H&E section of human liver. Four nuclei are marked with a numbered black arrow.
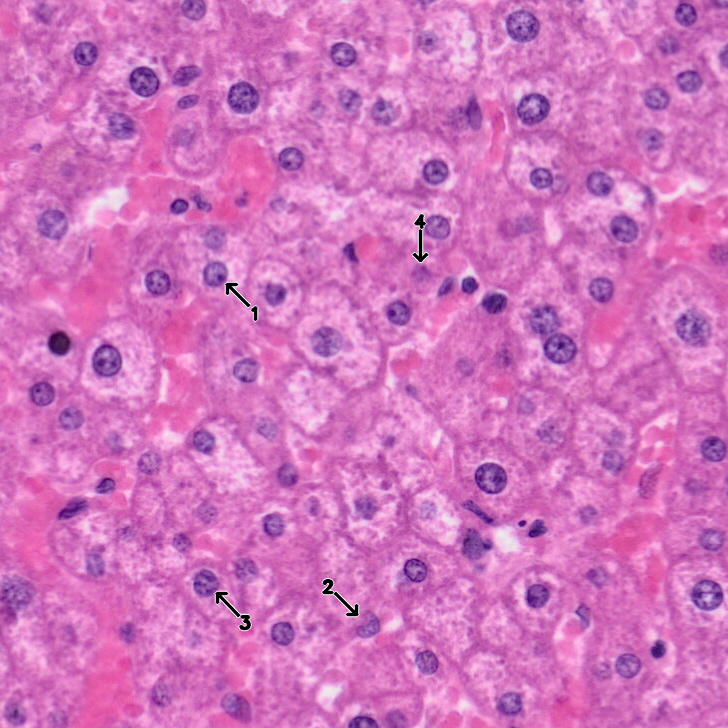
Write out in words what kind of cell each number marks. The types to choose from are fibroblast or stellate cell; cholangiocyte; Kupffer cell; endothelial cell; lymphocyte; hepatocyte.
Cells 1, 3 and 4 are hepatocytes. Cell 2 is a Kupffer cell.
